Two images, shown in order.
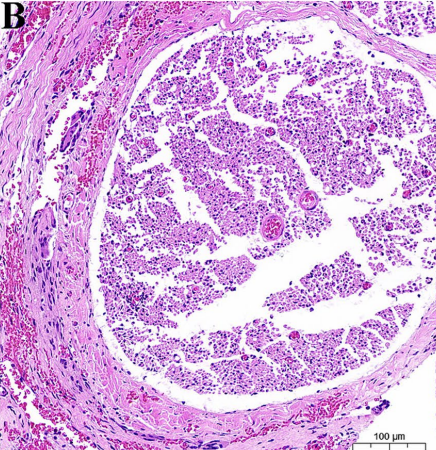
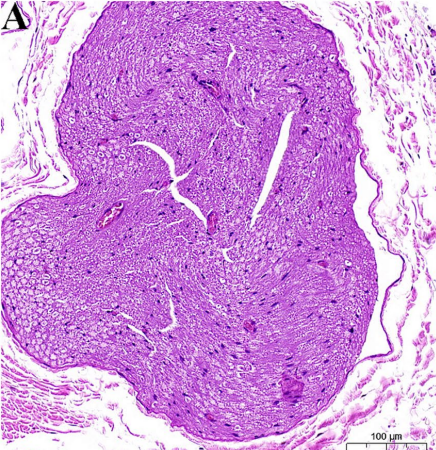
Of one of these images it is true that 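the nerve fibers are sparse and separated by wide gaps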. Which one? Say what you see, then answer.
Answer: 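The first image. First image: fiber profiles lie in loose clusters with many empty clefts between them. Second image: the bundle is densely and evenly filled with fiber profiles, with only a few narrow clefts.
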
